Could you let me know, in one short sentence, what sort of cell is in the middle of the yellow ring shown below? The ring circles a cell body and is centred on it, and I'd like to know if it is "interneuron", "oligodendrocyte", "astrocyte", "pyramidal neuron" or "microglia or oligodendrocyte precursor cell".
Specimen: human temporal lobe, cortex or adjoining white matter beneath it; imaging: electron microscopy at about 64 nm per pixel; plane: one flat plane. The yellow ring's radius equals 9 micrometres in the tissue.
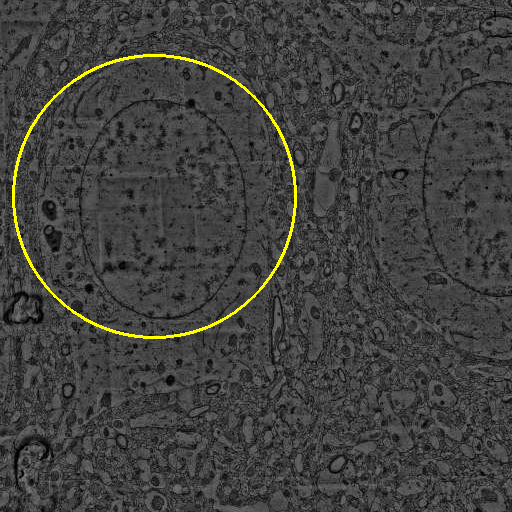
The ring circles the cell body of a pyramidal neuron.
